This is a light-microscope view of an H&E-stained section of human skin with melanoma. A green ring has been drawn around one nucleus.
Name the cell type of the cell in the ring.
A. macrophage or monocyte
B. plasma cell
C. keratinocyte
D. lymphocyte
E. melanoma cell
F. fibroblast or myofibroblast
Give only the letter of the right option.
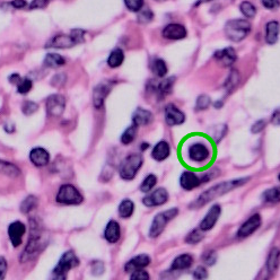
D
